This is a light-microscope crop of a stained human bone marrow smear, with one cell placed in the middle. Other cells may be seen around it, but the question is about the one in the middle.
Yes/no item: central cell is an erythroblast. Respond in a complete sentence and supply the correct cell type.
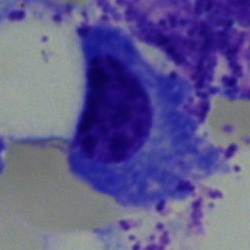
No, the cell in the middle is recognised as a plasma cell rather than an erythroblast.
